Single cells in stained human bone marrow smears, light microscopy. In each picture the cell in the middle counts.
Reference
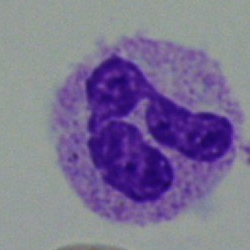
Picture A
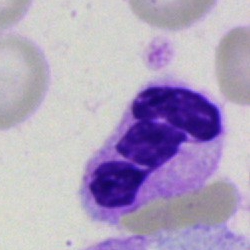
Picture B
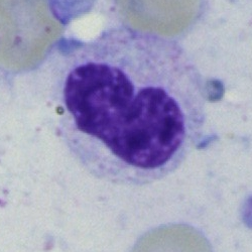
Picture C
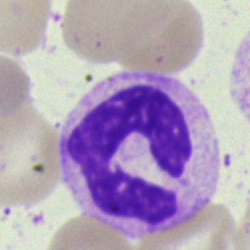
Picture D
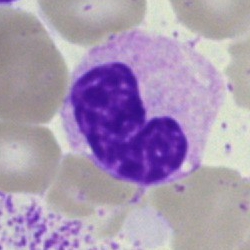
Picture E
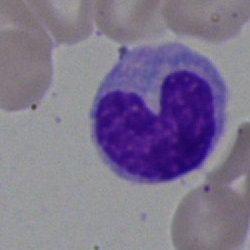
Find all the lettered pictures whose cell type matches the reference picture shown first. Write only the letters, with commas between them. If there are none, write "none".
A, D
